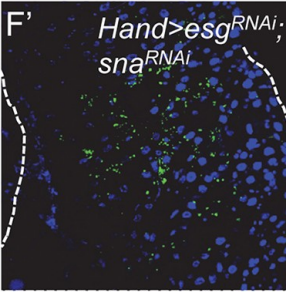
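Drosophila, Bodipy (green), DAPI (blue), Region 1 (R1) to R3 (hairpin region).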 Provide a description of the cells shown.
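Many small round to oval nuclei are spread across the tube, closely packed in places. White dashed lines mark the edges of the intestinal tube on either side.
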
